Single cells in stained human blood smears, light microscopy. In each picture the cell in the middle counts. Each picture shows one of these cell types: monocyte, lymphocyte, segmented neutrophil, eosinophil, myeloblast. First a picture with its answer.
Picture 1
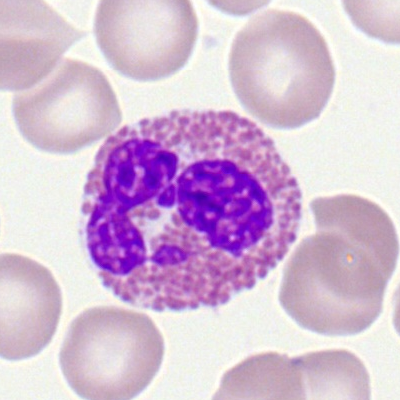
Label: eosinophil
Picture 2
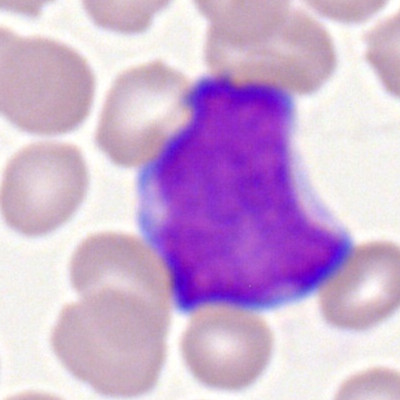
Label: myeloblast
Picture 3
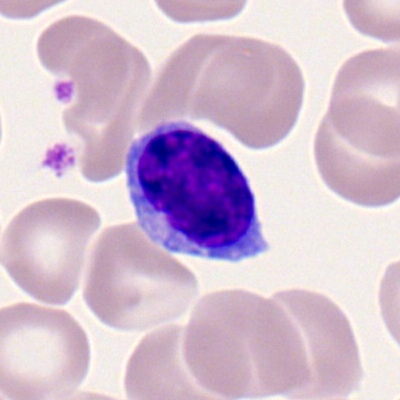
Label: lymphocyte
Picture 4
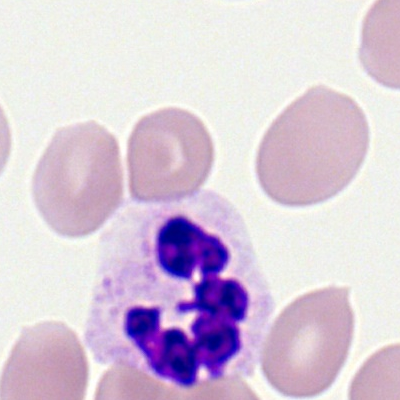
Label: segmented neutrophil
